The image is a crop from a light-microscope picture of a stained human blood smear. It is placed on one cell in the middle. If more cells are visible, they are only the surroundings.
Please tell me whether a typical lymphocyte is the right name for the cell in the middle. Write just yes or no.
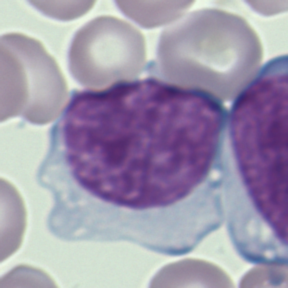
no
